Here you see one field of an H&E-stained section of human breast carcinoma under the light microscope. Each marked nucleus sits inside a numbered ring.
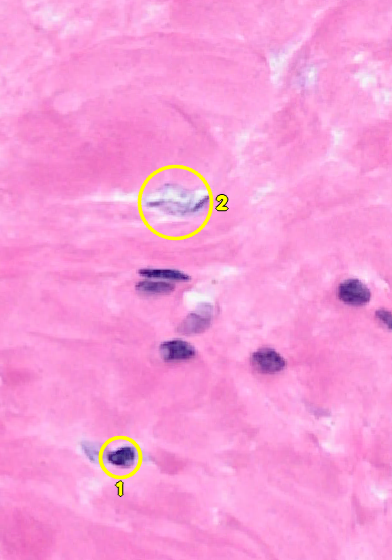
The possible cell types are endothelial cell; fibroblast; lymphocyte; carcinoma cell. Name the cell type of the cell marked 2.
fibroblast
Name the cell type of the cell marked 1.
lymphocyte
